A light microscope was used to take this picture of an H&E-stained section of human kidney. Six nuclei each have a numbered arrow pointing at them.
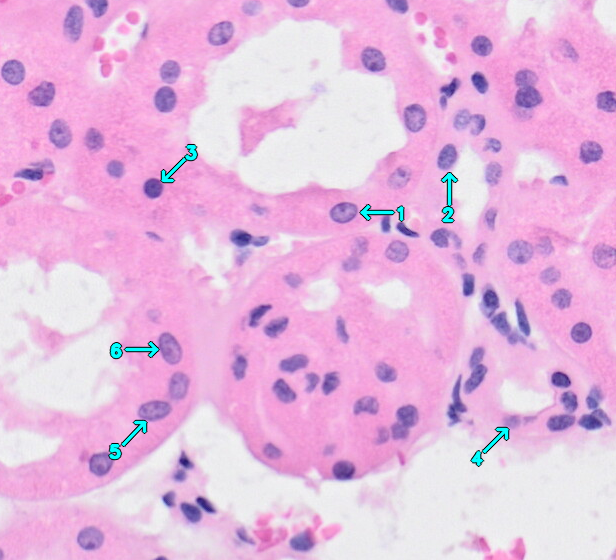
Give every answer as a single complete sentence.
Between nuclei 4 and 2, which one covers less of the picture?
Number 4 is smaller, since number 2 takes up about 2 times as much area.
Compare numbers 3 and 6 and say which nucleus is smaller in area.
Nucleus 3 covers less area, with nucleus 6 about 1.5 times as large.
